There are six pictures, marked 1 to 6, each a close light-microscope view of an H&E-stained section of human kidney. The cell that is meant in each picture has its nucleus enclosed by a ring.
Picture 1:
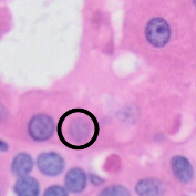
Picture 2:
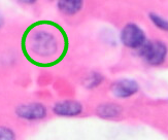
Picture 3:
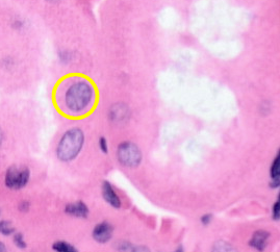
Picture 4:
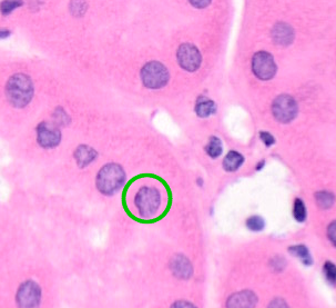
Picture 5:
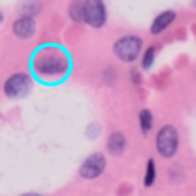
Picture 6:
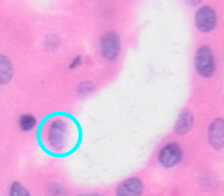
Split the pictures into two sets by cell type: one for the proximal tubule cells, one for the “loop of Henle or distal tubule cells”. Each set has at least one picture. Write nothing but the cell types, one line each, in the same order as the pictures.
proximal tubule cell
loop of Henle or distal tubule cell
proximal tubule cell
proximal tubule cell
loop of Henle or distal tubule cell
loop of Henle or distal tubule cell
